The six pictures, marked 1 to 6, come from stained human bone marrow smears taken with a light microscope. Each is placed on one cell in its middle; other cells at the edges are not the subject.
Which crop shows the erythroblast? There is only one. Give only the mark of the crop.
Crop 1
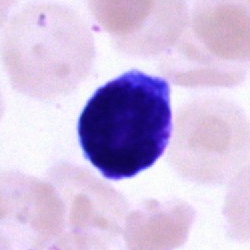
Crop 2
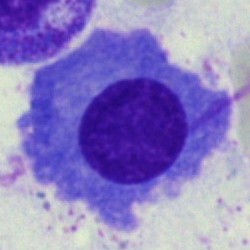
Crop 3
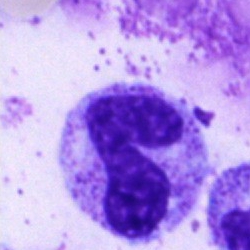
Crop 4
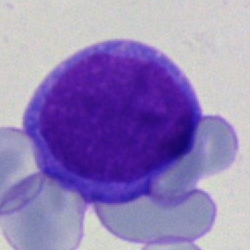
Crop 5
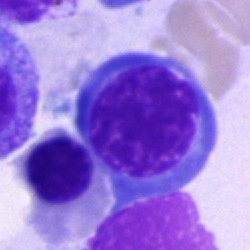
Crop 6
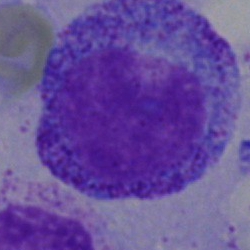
5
